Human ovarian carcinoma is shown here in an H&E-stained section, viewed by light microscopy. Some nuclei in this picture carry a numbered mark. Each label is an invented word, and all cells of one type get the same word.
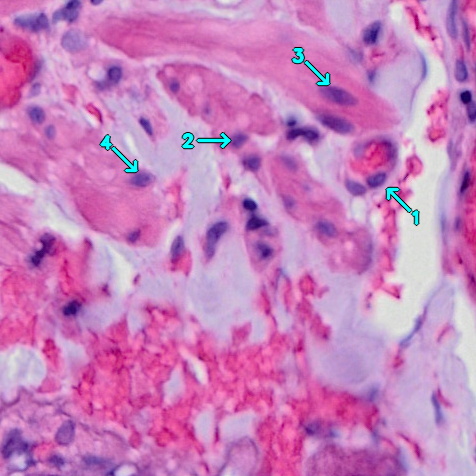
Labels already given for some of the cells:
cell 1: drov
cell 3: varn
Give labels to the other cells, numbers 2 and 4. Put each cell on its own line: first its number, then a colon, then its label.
2: varn
4: varn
